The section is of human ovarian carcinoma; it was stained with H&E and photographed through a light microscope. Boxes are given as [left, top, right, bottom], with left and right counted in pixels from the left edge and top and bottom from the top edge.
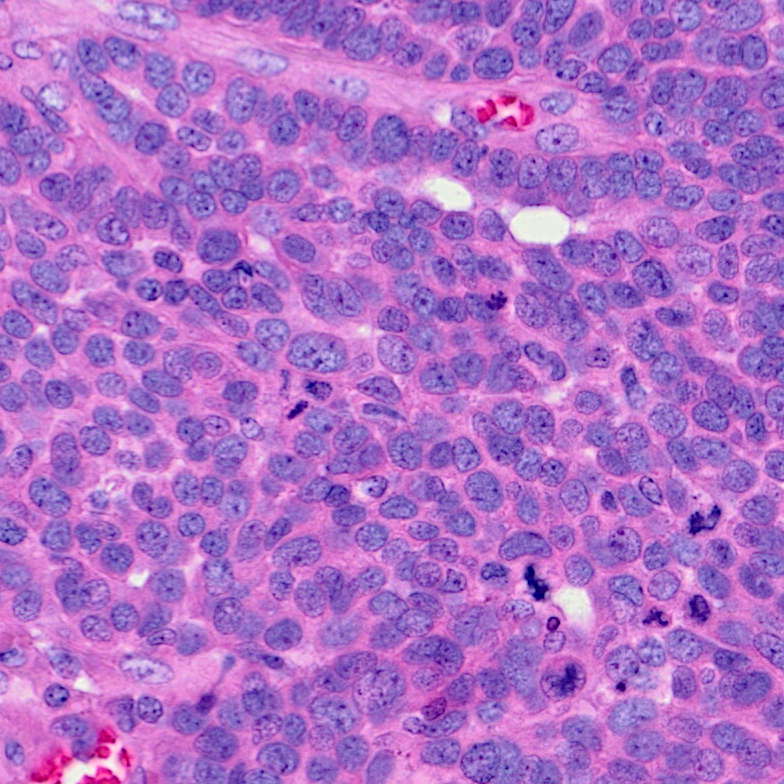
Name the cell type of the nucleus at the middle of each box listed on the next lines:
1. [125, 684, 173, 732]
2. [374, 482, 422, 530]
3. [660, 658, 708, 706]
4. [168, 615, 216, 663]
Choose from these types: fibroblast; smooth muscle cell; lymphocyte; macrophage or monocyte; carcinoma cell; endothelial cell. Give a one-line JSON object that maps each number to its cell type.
{"1": "macrophage or monocyte", "2": "carcinoma cell", "3": "carcinoma cell", "4": "carcinoma cell"}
